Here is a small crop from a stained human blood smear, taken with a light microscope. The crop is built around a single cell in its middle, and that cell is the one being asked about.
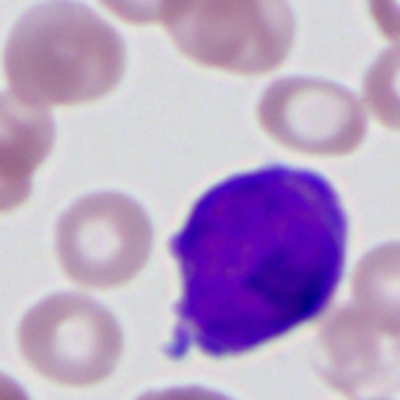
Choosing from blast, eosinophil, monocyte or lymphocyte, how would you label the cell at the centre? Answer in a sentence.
In short, the cell at the center is a blast.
